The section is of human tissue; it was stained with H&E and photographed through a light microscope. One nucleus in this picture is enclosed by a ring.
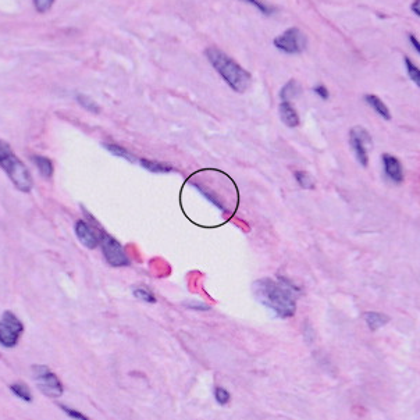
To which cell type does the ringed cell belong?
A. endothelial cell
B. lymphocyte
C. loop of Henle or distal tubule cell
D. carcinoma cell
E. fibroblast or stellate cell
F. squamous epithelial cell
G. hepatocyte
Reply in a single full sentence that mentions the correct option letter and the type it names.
Option A wins here: the ringed cell is an endothelial cell.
